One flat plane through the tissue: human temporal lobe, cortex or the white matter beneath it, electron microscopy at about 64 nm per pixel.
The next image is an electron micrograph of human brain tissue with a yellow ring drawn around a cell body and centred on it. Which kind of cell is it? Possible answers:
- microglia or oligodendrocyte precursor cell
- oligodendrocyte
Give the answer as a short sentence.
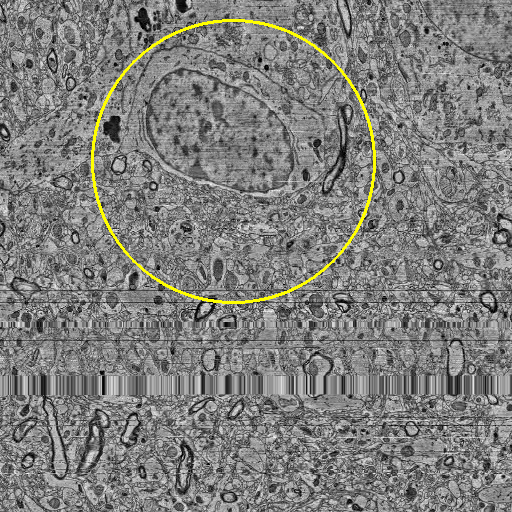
In the ring's centre is a microglial cell or oligodendrocyte precursor cell.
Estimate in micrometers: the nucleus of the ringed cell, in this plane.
In this plane the nucleus is clearly longer than it is wide: roughly 10 by 7 micrometres.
